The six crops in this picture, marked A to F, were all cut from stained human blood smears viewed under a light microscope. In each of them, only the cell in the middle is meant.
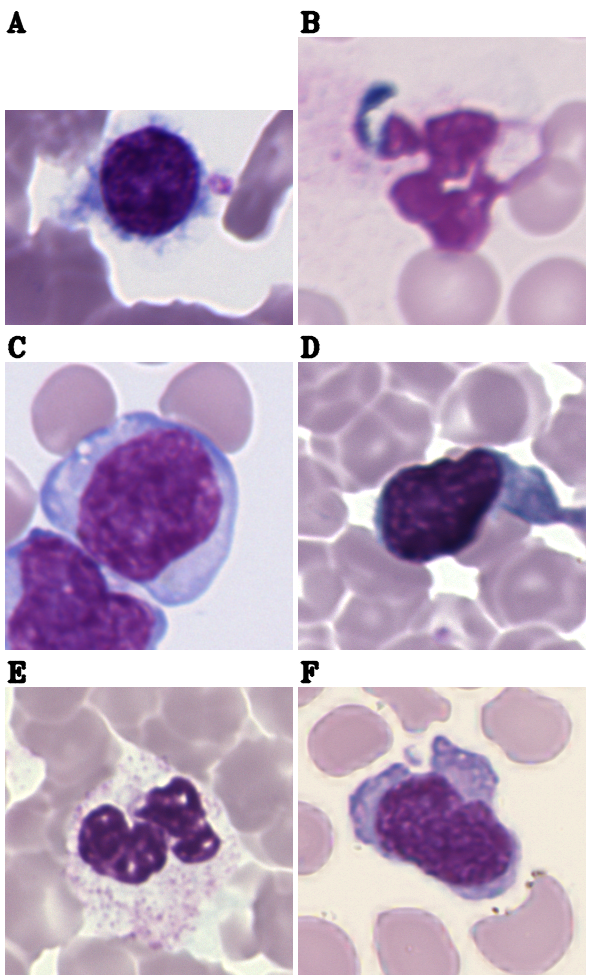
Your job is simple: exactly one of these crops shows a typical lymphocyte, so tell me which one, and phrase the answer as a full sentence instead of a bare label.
Crop D is the single crop that shows a typical lymphocyte.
